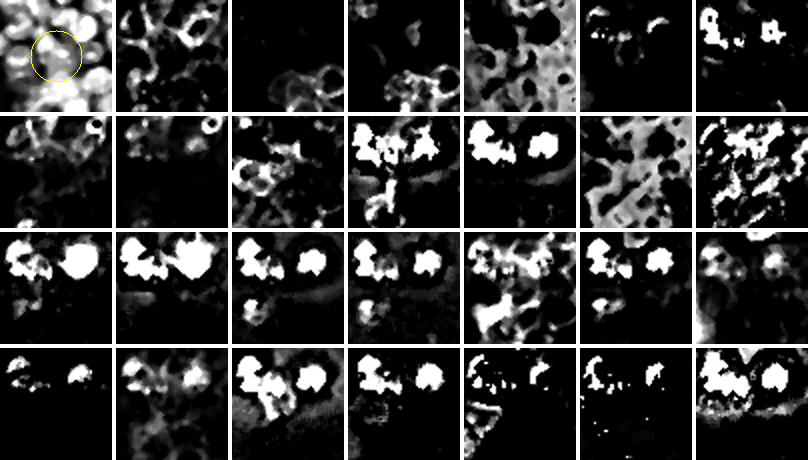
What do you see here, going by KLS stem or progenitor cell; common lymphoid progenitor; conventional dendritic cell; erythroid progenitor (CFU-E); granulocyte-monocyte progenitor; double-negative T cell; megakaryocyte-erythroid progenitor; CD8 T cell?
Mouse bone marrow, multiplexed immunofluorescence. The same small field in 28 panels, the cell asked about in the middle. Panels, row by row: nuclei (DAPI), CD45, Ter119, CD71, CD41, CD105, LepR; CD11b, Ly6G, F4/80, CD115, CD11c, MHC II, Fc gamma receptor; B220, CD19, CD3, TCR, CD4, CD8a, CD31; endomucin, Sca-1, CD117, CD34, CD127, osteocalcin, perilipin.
I see a granulocyte-monocyte progenitor.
